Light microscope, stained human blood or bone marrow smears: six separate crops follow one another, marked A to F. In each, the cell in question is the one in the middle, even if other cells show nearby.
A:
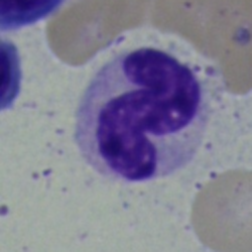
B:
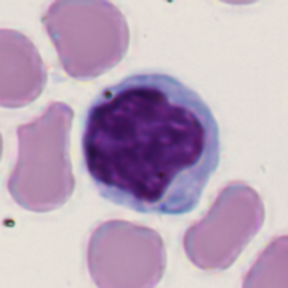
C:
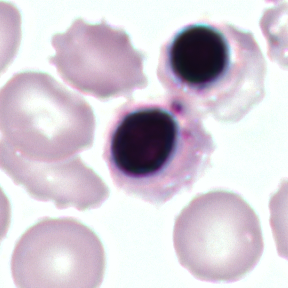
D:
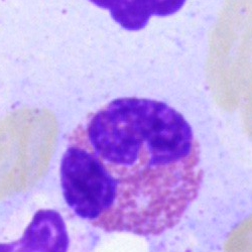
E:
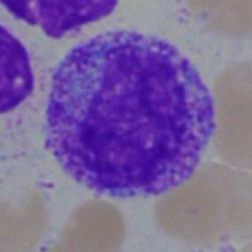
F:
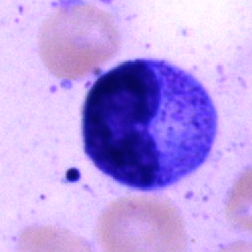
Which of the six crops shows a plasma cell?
B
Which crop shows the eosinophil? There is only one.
D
